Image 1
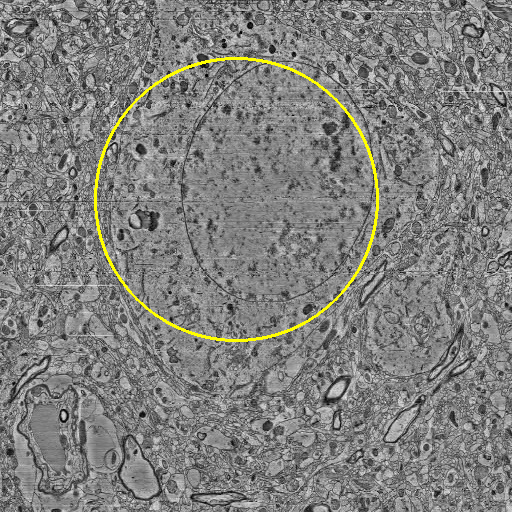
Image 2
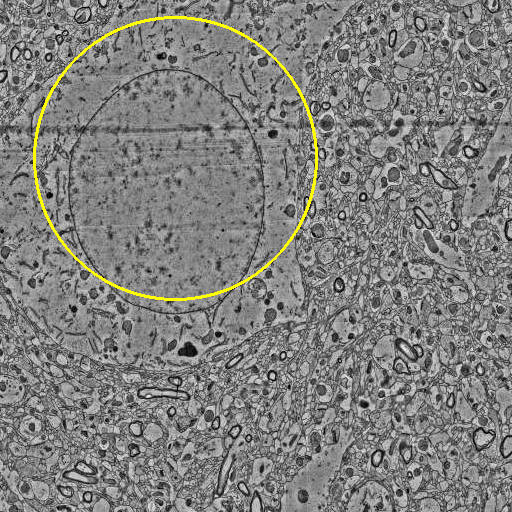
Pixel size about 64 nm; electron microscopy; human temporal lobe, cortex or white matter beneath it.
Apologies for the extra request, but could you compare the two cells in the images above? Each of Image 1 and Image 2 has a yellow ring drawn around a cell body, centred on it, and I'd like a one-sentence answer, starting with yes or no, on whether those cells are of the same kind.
Yes, both cells are of the same kind.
